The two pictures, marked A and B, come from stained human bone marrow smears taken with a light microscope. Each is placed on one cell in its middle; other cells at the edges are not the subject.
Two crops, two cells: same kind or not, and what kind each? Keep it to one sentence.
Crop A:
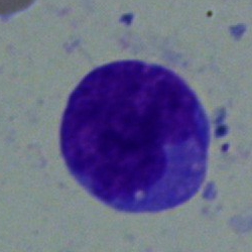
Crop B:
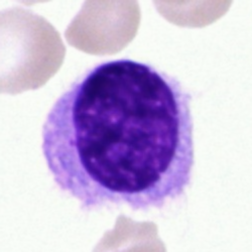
No, crop A carries a blast and crop B carries a hairy cell.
